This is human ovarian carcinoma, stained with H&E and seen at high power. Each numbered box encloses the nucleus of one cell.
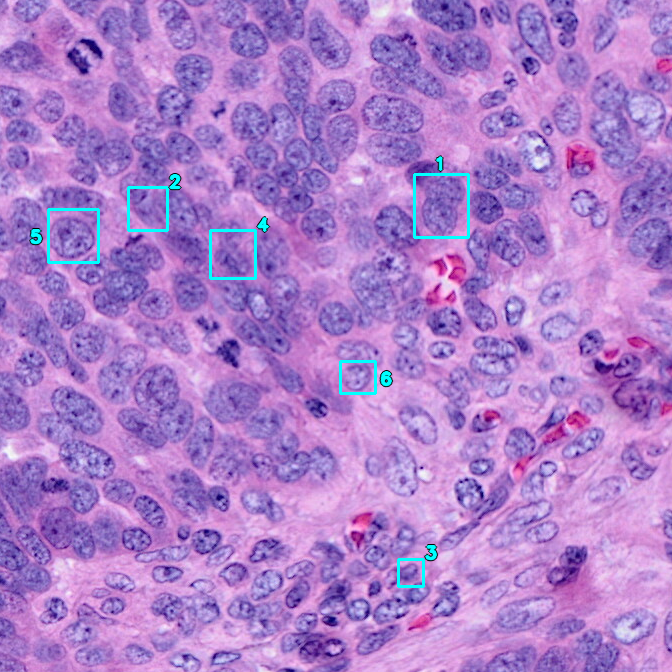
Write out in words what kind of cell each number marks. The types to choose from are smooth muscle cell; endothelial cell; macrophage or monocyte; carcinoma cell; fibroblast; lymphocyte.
Cell 1 is a carcinoma cell, cell 2 is a carcinoma cell, cell 3 is an endothelial cell, cell 4 is a carcinoma cell, cell 5 is a carcinoma cell and cell 6 is an endothelial cell.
